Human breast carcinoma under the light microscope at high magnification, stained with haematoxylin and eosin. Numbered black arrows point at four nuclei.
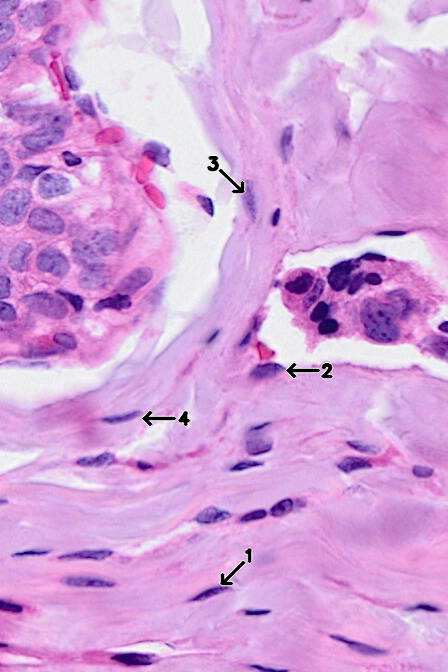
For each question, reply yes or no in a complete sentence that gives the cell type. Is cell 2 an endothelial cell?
Yes, the cell distinguished by number 2 is an endothelial cell.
